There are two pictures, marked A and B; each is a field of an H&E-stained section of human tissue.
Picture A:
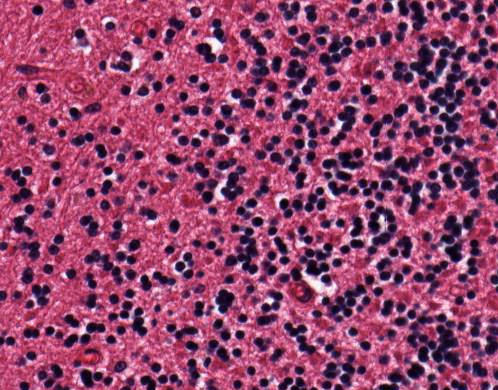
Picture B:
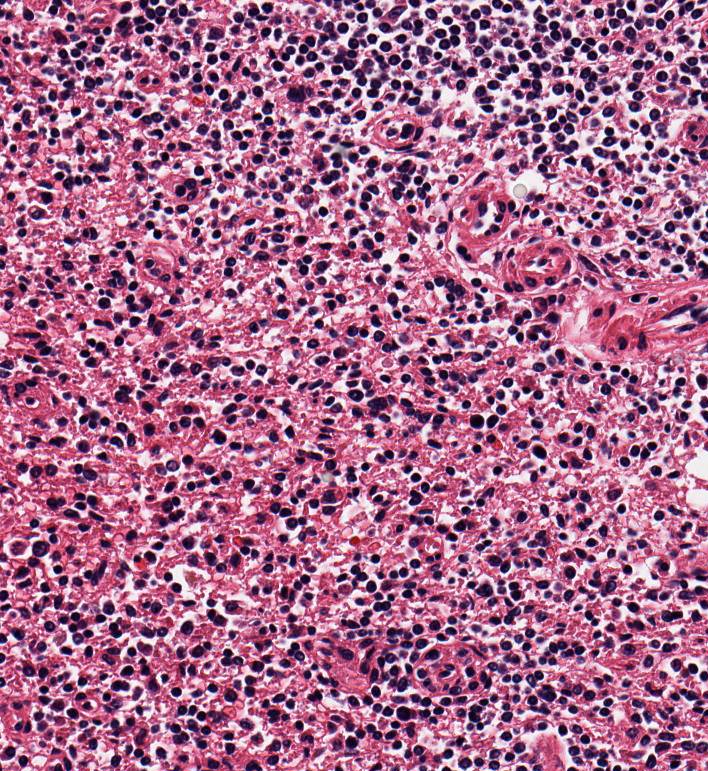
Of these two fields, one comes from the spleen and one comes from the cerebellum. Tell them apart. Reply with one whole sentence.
Picture A comes from the cerebellum and picture B comes from the spleen.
